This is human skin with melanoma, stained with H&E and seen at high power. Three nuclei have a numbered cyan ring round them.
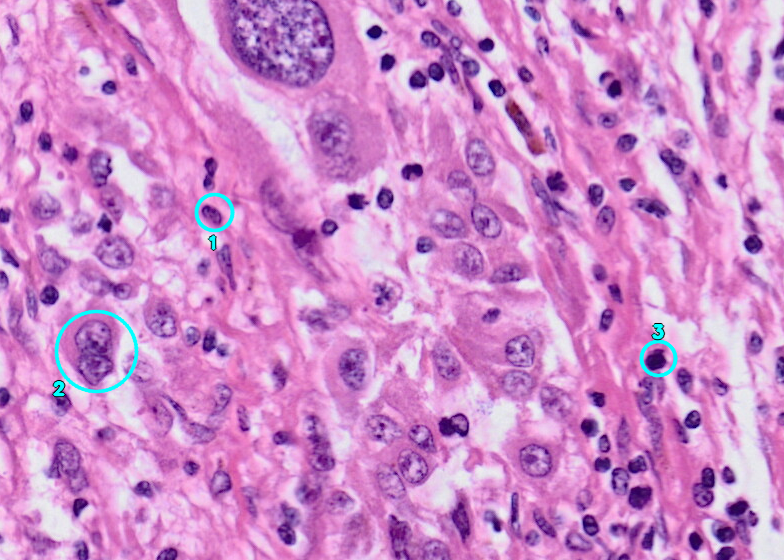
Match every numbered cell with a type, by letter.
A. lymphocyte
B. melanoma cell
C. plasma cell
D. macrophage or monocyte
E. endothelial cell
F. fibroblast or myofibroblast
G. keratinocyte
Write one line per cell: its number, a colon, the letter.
1: A
2: B
3: A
